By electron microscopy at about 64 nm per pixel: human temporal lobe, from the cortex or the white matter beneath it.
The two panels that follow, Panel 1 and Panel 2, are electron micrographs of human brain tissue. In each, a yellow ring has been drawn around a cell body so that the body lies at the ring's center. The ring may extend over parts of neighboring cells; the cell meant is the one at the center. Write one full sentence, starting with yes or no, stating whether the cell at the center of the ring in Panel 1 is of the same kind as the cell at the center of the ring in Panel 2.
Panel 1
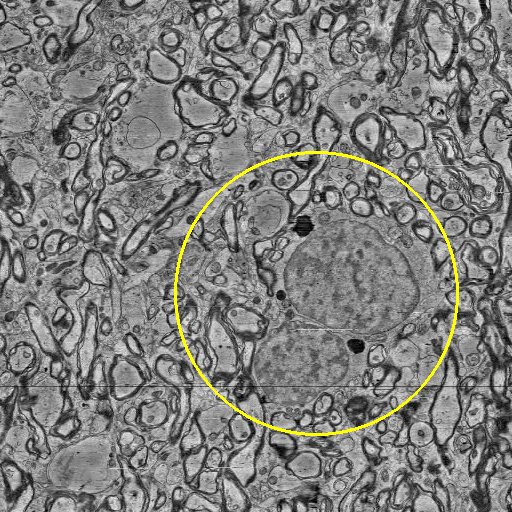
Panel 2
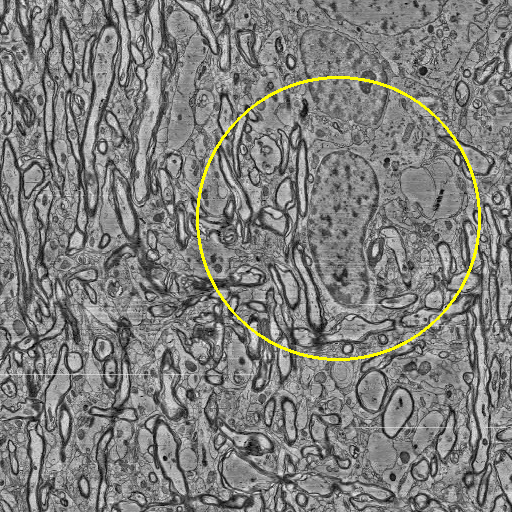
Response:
No, the cells in the two panels are of two kinds.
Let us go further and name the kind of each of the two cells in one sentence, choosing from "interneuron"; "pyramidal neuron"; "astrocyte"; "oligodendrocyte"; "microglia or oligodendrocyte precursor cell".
The ring of the first picture is on an oligodendrocyte, the ring of the second on a microglial cell or oligodendrocyte precursor cell.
